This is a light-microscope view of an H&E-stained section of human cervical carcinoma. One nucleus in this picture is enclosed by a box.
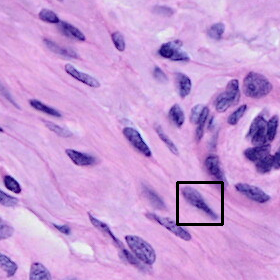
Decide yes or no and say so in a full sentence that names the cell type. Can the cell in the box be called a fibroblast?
Yes, the cell in the box is properly regarded as a fibroblast.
